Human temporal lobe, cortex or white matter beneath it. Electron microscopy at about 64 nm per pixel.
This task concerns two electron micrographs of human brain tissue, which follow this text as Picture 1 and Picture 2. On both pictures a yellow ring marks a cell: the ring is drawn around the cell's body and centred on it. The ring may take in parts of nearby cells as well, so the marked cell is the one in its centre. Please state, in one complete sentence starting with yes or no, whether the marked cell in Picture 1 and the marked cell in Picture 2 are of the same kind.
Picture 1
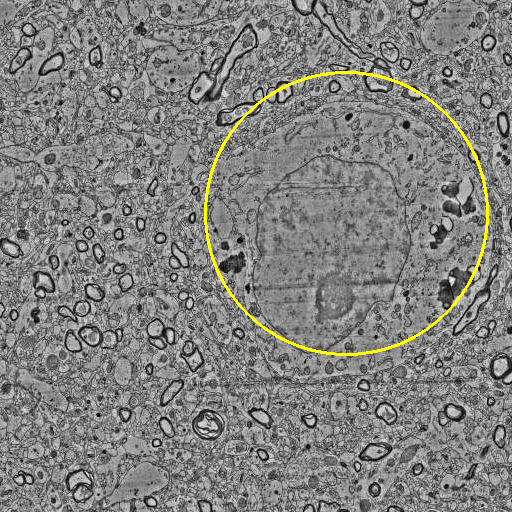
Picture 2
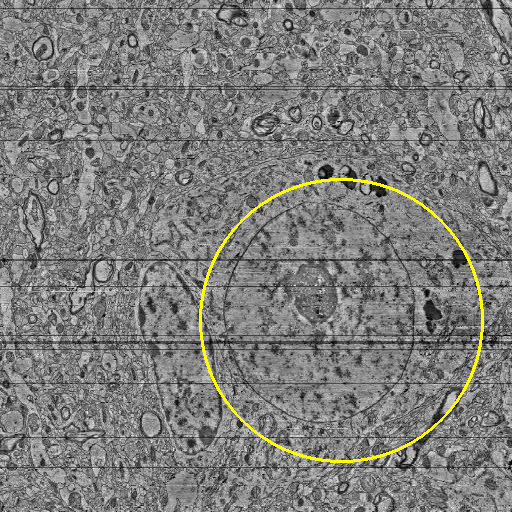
Yes, the marked cells in both pictures are of the same kind.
